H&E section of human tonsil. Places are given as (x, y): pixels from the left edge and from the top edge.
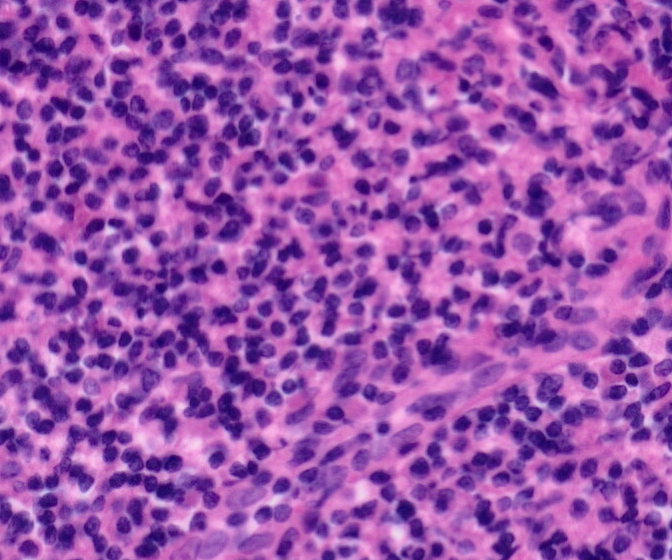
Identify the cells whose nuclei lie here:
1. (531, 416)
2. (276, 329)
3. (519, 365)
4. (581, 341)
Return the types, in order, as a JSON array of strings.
["small lymphocyte", "small lymphocyte", "endothelial cell", "endothelial cell"]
